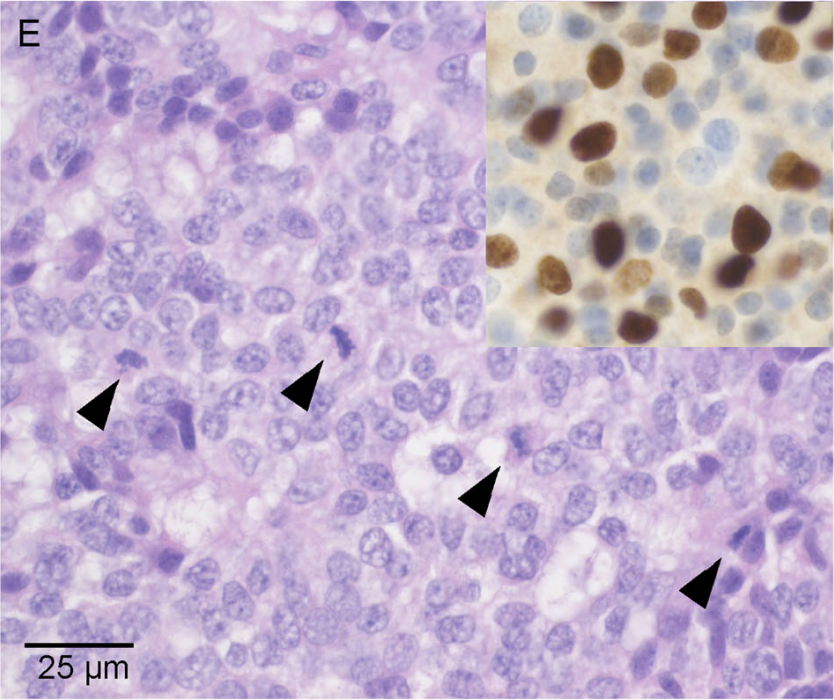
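This is a solid sheet of large tumor cells with oval to round nuclei that have finely granular, vesicular chromatin and small nucleoli, set in pale, partly vacuolated cytoplasm with indistinct cell borders. Several mitotic figures stand out as small dark, irregular chromatin clumps among the resting nuclei.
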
